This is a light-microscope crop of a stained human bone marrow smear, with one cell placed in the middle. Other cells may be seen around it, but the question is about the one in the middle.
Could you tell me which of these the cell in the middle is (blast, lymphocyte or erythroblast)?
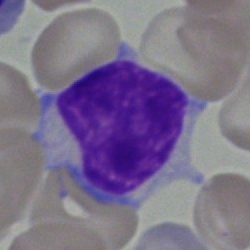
lymphocyte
